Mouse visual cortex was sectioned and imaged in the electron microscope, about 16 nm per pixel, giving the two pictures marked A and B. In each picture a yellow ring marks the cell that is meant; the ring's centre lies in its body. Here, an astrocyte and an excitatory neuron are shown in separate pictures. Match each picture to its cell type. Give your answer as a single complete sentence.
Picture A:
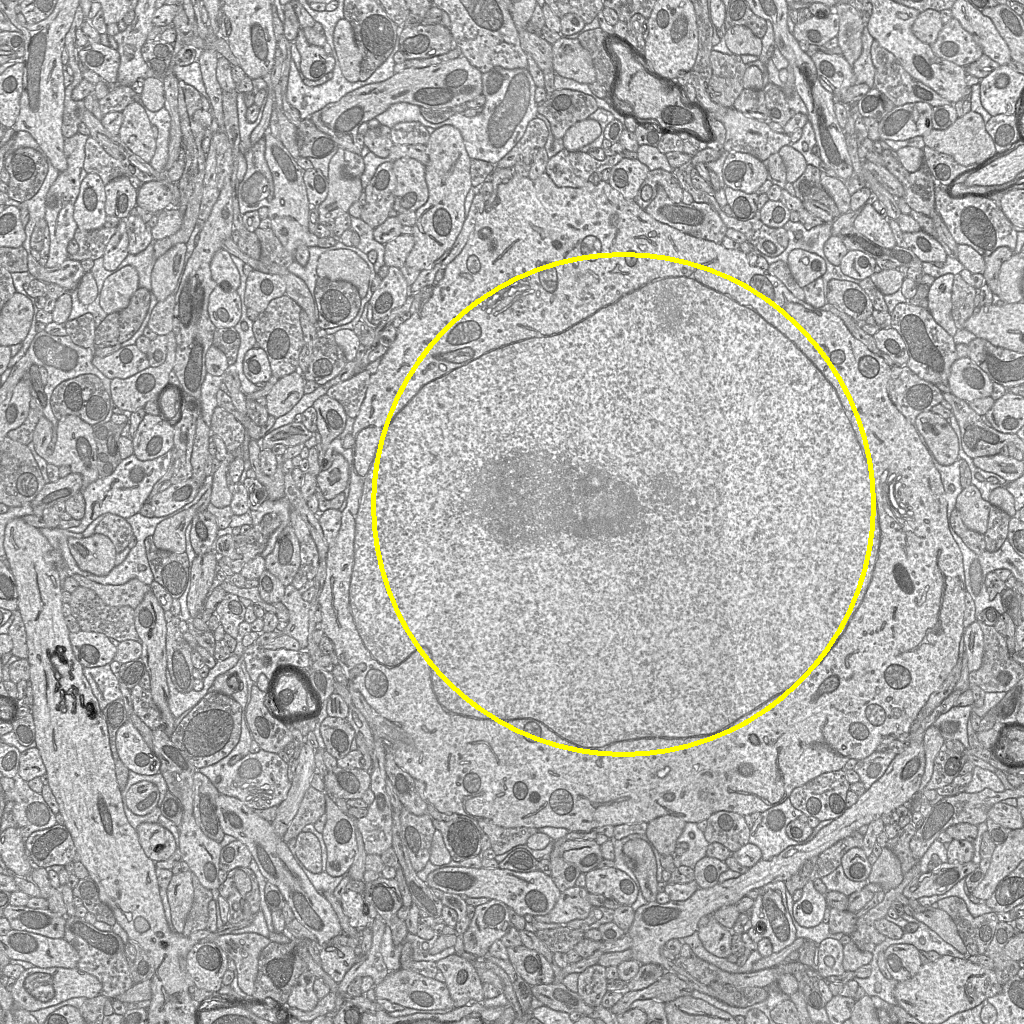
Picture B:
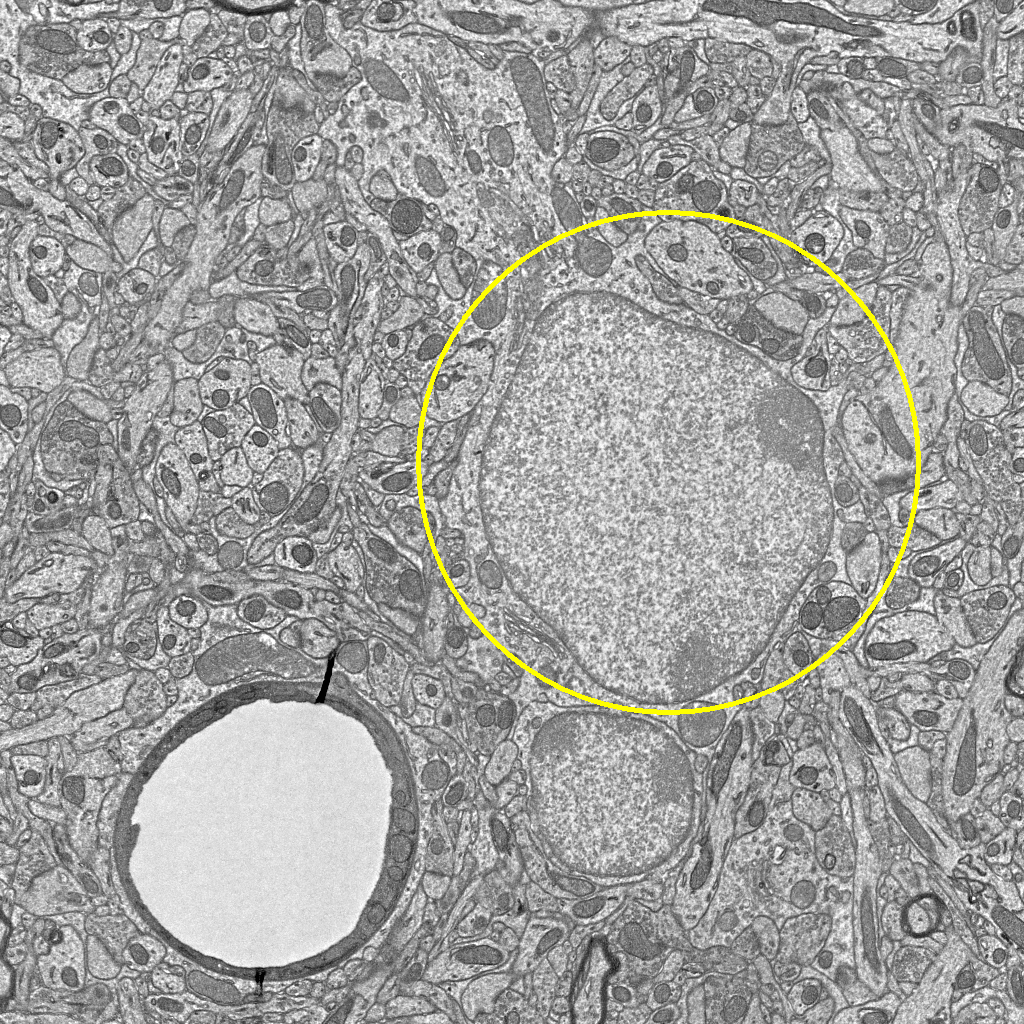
It is picture A that shows an excitatory neuron, and picture B that shows an astrocyte.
